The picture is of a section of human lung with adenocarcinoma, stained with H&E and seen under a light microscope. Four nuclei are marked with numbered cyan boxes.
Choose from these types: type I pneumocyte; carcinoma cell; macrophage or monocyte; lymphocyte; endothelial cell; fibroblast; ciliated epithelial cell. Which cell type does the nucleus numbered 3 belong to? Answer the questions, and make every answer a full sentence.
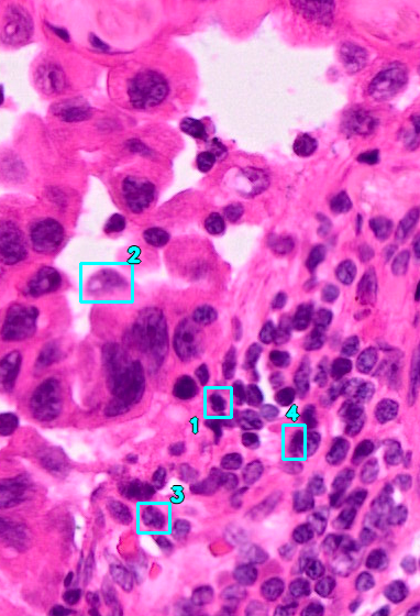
Cell 3, among those numbered, is a lymphocyte.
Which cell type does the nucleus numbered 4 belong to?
The expected answer is that cell 4 is a lymphocyte.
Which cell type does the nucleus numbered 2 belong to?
The nucleus marked 2 is the nucleus of a carcinoma cell.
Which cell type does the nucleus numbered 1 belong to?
Cell 1, among those numbered, is a lymphocyte.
